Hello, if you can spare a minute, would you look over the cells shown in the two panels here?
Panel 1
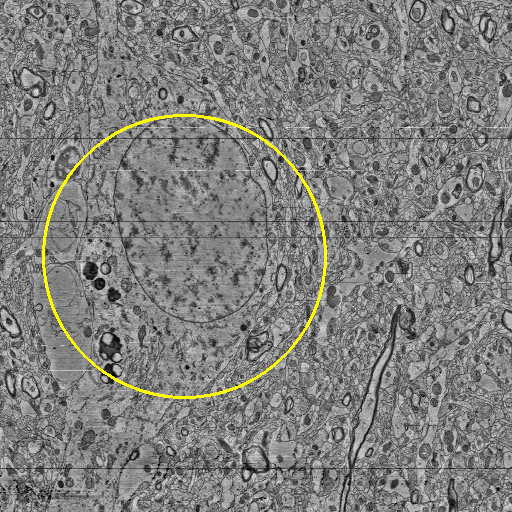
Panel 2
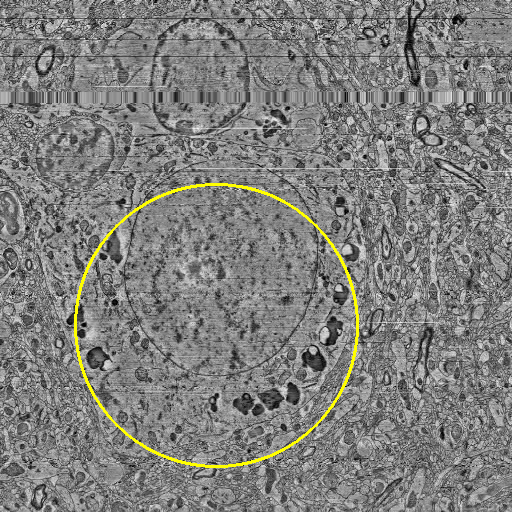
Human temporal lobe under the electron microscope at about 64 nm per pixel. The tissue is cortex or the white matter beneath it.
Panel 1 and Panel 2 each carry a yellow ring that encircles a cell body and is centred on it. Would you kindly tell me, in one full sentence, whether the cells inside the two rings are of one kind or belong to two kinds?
The cells at the centres of the rings in Panel 1 and Panel 2 are of one kind.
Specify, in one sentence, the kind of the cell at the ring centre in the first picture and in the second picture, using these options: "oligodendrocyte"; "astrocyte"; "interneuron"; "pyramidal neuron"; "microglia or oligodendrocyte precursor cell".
Each of the two rings surrounds a pyramidal neuron.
